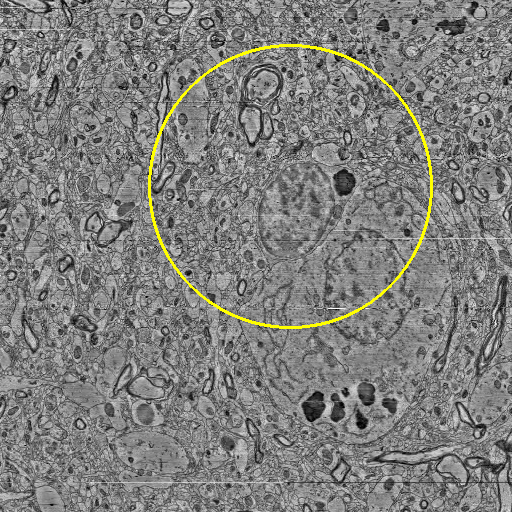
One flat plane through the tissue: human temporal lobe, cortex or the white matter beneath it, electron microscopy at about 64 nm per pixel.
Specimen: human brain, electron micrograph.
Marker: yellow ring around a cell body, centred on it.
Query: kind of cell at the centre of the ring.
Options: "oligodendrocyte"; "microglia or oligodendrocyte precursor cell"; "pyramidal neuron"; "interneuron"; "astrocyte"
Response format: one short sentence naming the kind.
This cell body belongs to an oligodendrocyte.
